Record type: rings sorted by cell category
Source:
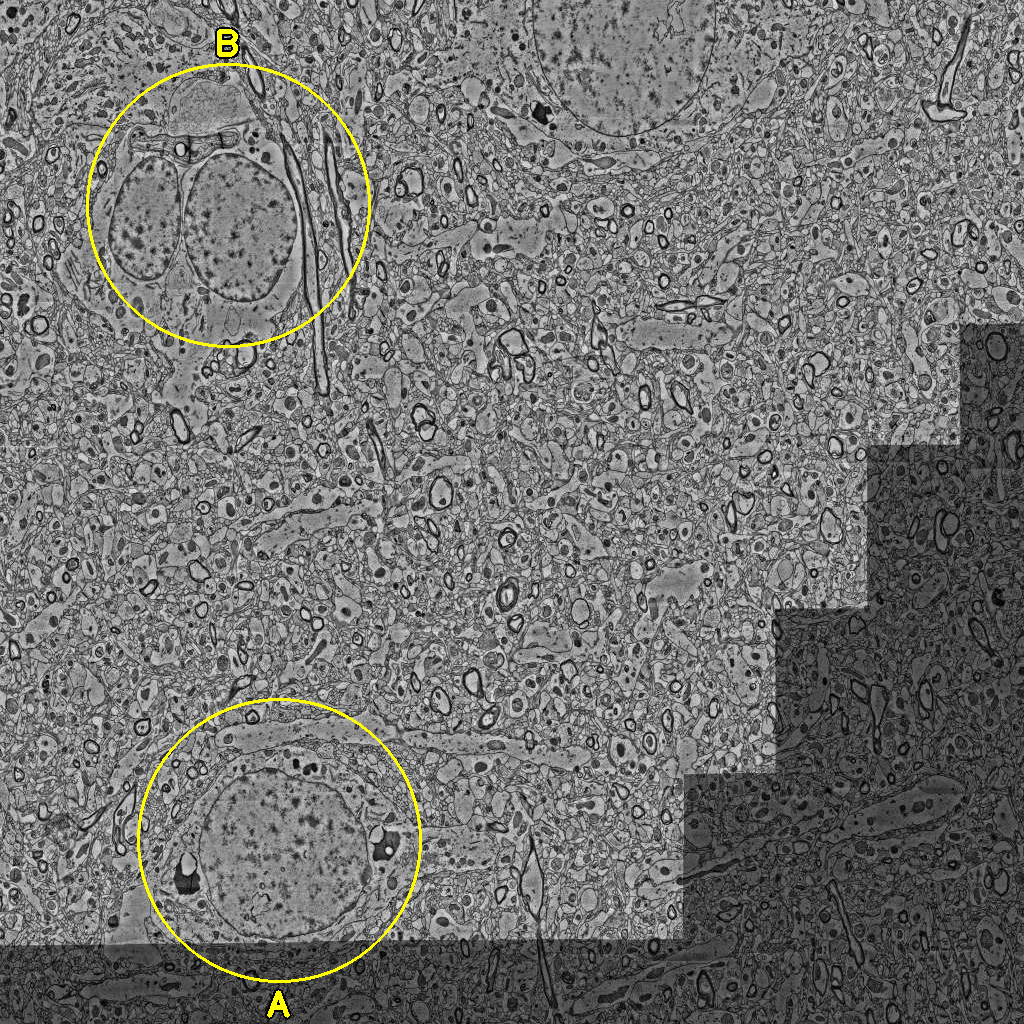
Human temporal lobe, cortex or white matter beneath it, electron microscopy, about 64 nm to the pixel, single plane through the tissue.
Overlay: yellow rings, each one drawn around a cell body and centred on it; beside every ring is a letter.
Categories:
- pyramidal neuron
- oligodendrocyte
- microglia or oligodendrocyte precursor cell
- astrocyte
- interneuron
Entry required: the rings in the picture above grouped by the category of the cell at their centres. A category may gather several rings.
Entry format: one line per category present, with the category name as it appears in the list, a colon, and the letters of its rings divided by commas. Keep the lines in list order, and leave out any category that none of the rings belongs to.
astrocyte: B
interneuron: A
